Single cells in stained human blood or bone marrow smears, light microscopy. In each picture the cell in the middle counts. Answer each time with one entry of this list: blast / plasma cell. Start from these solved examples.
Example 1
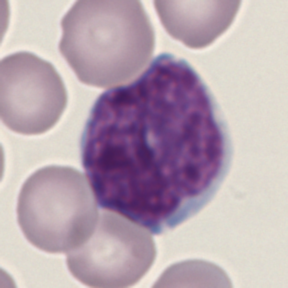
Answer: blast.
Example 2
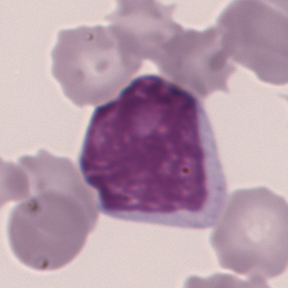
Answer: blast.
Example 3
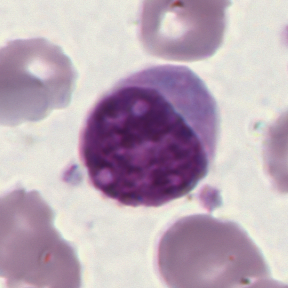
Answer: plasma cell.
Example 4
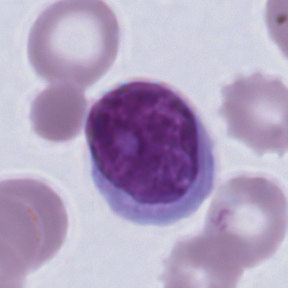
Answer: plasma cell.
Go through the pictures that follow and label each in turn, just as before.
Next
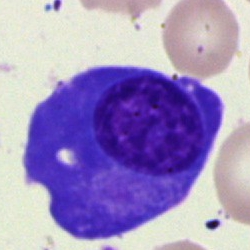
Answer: plasma cell.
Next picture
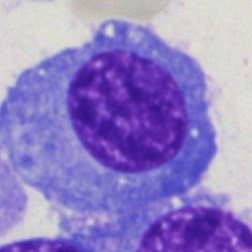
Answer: plasma cell.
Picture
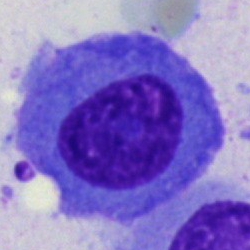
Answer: plasma cell.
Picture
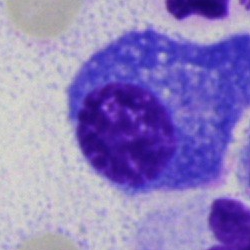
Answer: plasma cell.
